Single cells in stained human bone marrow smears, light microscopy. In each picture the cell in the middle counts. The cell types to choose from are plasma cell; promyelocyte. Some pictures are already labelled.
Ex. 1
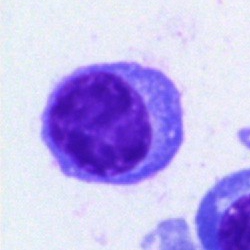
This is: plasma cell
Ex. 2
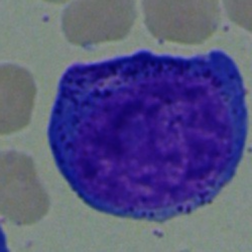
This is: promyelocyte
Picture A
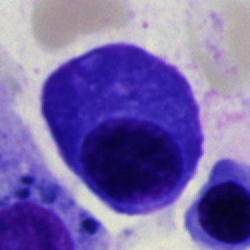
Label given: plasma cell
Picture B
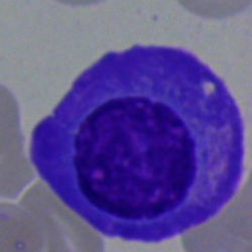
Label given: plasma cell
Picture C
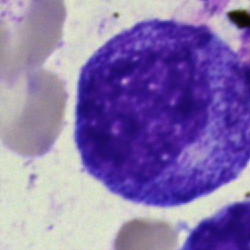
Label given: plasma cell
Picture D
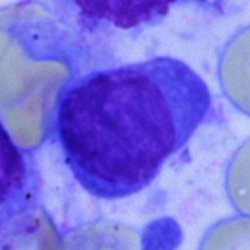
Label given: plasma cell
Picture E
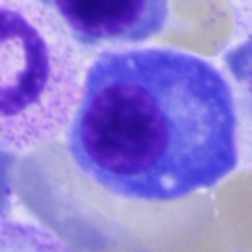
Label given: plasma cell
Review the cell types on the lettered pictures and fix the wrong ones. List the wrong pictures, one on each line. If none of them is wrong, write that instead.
C is labelled plasma cell; correct label: promyelocyte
